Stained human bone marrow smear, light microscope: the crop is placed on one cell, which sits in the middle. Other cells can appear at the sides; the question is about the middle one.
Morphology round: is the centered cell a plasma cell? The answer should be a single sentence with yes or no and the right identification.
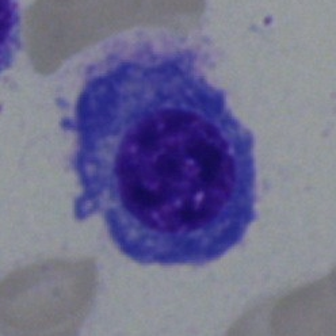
Yes, the cell here in the middle is a plasma cell.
